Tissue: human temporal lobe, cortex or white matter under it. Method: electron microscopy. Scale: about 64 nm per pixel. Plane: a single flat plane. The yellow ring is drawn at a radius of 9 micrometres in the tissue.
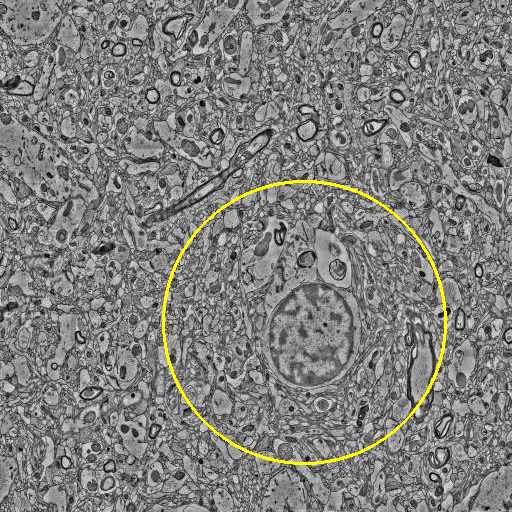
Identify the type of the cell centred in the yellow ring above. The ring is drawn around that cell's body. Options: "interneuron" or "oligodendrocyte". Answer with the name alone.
oligodendrocyte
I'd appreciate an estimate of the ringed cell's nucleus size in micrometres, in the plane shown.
In this plane, approximately 7 by 5 micrometers.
